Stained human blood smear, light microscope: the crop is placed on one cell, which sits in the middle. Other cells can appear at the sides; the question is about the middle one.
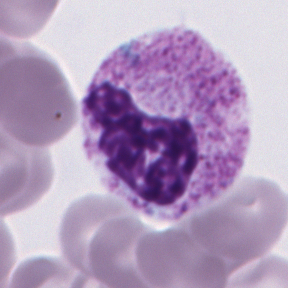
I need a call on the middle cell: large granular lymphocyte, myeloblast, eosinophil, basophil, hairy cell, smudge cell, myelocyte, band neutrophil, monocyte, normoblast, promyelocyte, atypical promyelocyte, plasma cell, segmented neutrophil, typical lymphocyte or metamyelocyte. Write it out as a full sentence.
On this slide crop, the central cell is a segmented neutrophil.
